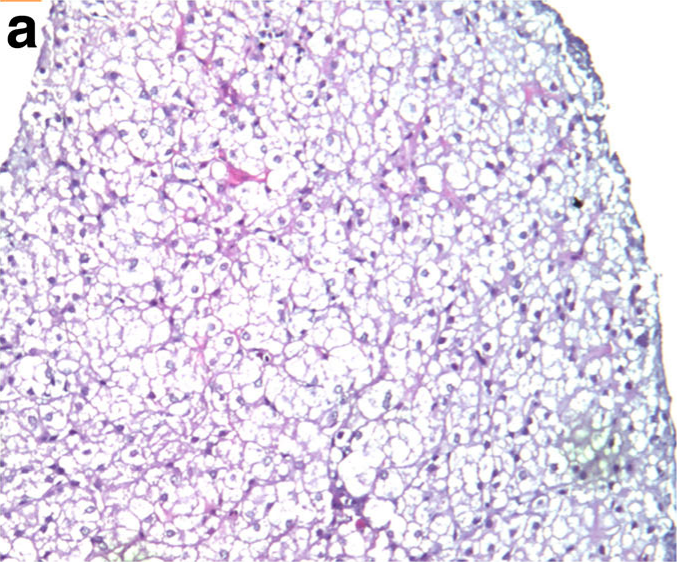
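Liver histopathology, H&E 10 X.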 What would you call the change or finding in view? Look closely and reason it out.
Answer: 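Microvesicular steatosis. Nearly all cells have pale, foamy cytoplasm filled with many small clear vacuoles. Nuclei stay roughly central rather than pushed aside by one large vacuole. The change is even across the whole field.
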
